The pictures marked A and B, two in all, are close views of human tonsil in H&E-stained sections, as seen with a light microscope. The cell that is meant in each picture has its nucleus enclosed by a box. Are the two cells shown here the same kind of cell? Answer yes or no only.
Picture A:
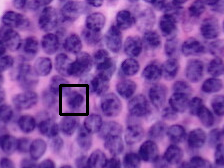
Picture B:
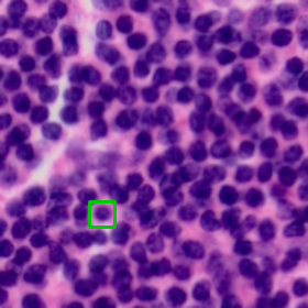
yes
